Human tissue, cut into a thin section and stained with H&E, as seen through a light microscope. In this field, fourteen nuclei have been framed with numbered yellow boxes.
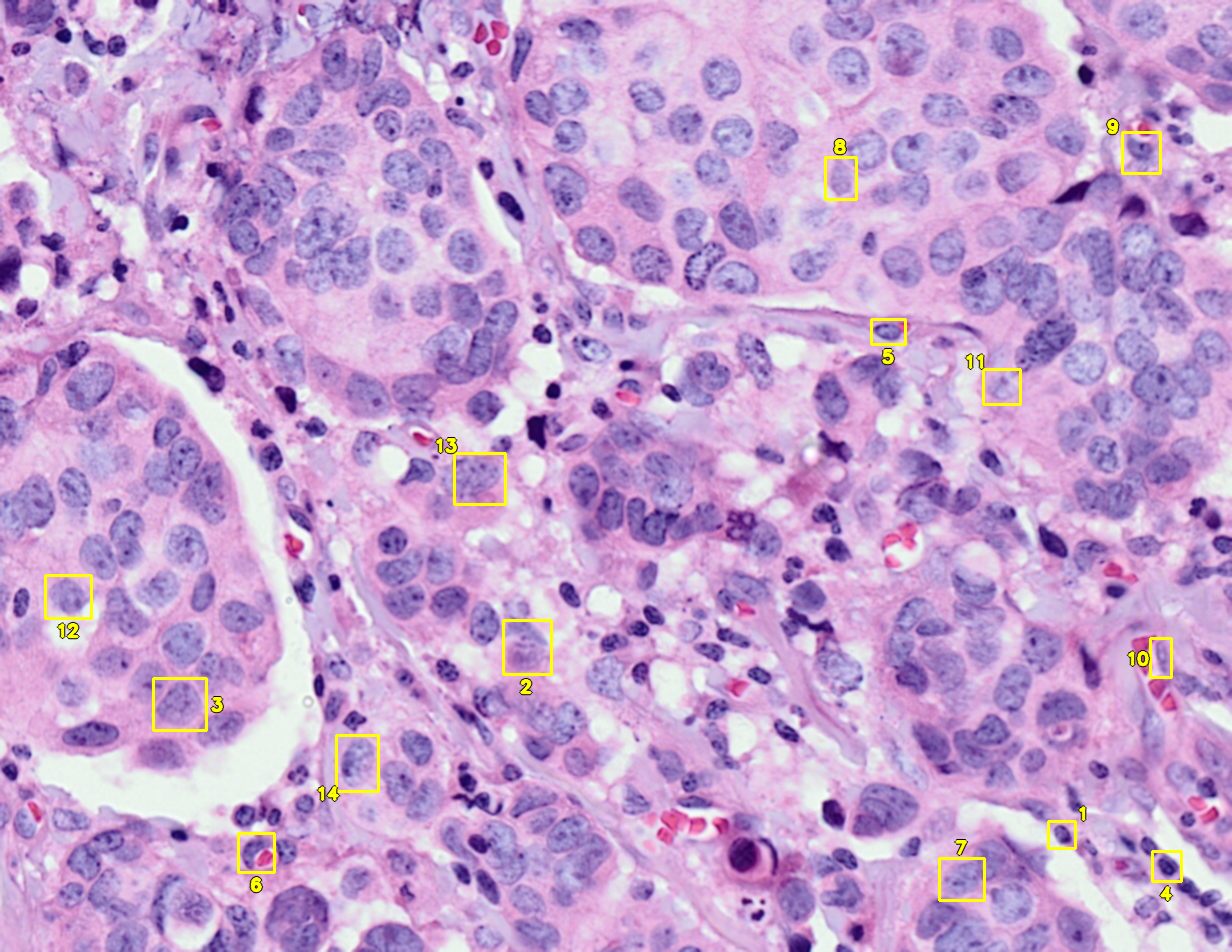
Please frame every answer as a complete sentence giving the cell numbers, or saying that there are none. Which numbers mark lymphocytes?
The cells with the number labels 1 and 4 are lymphocytes.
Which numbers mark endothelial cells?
By cell type, the cells numbered 5, 6, 9 and 10 are endothelial cells.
